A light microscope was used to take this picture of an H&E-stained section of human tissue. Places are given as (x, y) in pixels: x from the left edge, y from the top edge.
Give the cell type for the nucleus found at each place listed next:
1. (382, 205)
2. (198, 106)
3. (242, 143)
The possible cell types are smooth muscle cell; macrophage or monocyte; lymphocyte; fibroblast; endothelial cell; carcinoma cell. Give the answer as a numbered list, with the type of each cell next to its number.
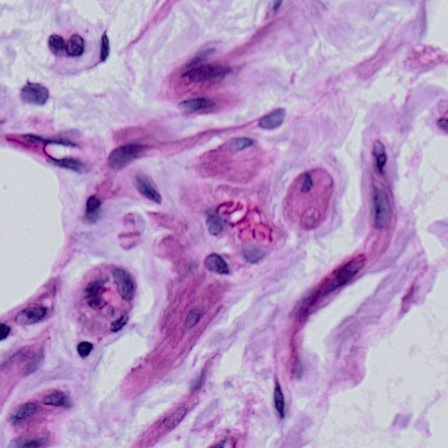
1. endothelial cell
2. smooth muscle cell
3. smooth muscle cell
